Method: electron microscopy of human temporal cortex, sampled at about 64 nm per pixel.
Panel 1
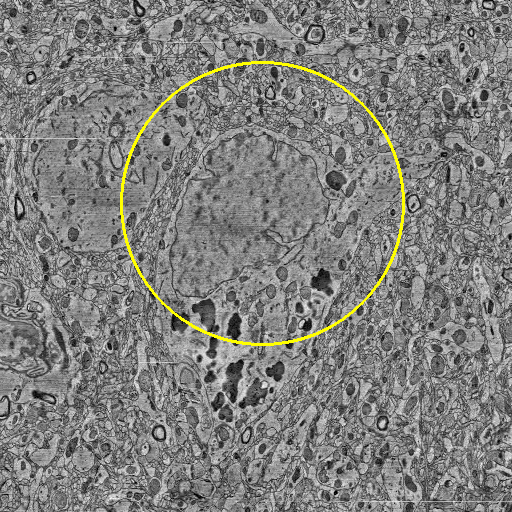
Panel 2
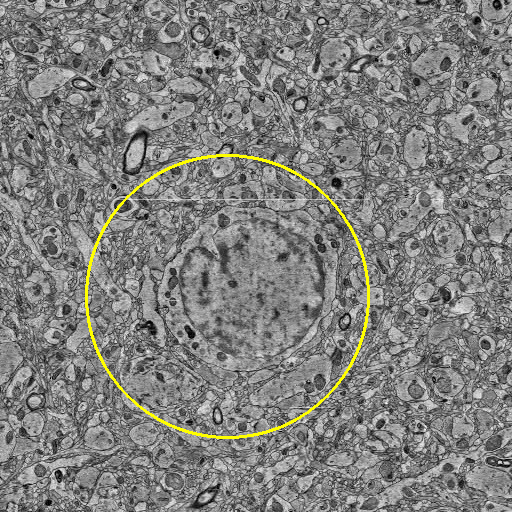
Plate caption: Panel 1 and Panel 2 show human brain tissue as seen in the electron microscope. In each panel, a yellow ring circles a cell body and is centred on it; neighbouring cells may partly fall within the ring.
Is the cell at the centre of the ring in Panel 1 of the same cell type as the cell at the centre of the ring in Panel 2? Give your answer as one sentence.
Yes, the two cells are of the same type.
